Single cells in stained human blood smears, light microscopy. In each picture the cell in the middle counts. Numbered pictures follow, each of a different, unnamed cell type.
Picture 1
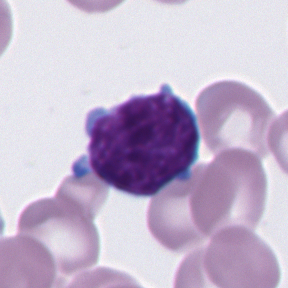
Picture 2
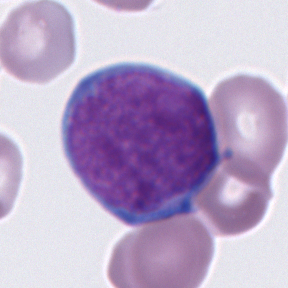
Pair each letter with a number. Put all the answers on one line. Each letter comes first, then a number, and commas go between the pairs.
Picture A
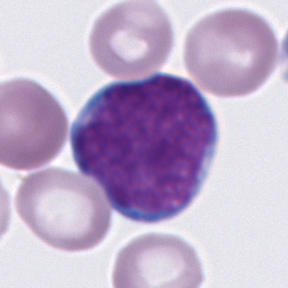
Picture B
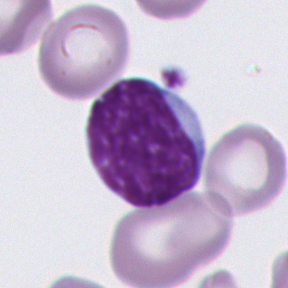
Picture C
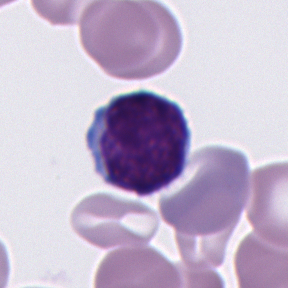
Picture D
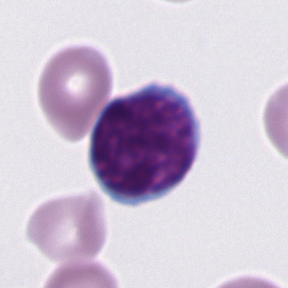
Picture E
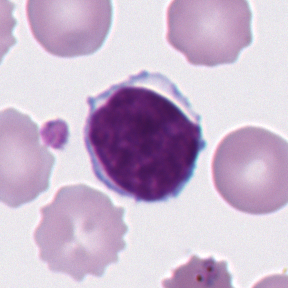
A 2, B 1, C 1, D 1, E 1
